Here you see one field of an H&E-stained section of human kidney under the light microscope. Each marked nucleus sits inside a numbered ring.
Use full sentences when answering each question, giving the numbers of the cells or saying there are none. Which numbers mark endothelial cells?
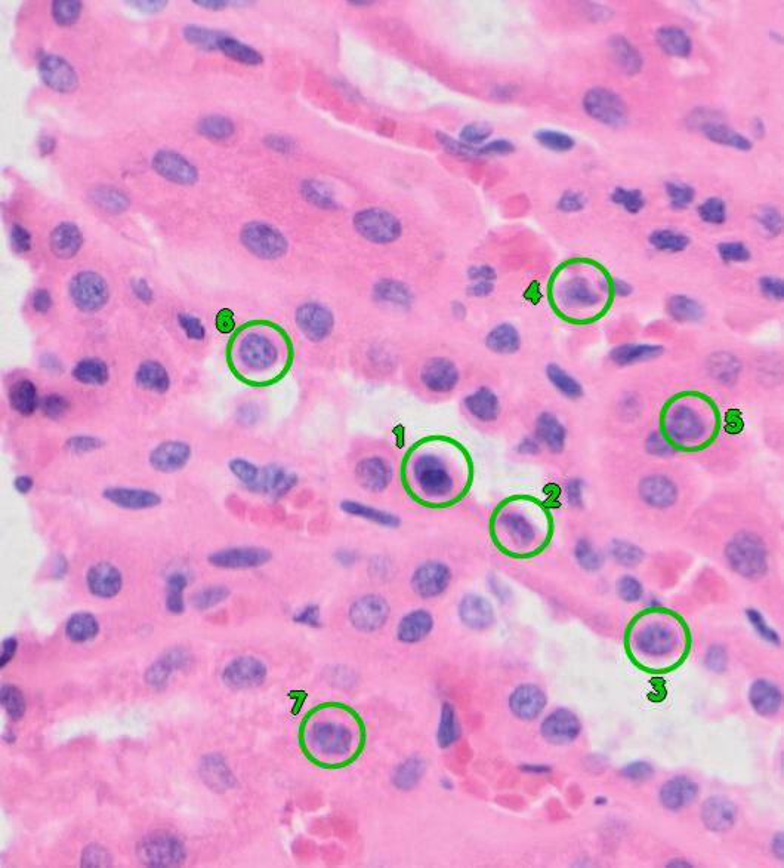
In contrast to the remaining marked cells, cell 4 is an endothelial cell.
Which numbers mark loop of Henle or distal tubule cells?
The cells numbered 1, 2, 3 and 6 are identified as loop of Henle or distal tubule cells.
